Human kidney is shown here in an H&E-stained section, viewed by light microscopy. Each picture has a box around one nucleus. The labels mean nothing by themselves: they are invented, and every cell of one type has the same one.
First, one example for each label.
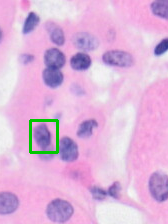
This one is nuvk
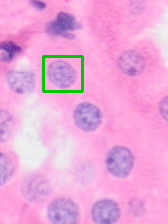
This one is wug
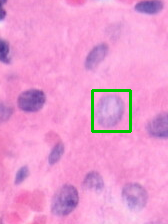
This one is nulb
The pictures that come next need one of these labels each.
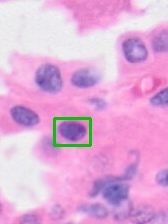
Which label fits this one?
wug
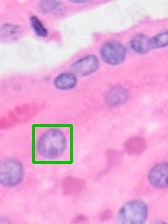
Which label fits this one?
nulb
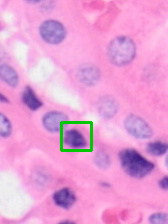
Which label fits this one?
nuvk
